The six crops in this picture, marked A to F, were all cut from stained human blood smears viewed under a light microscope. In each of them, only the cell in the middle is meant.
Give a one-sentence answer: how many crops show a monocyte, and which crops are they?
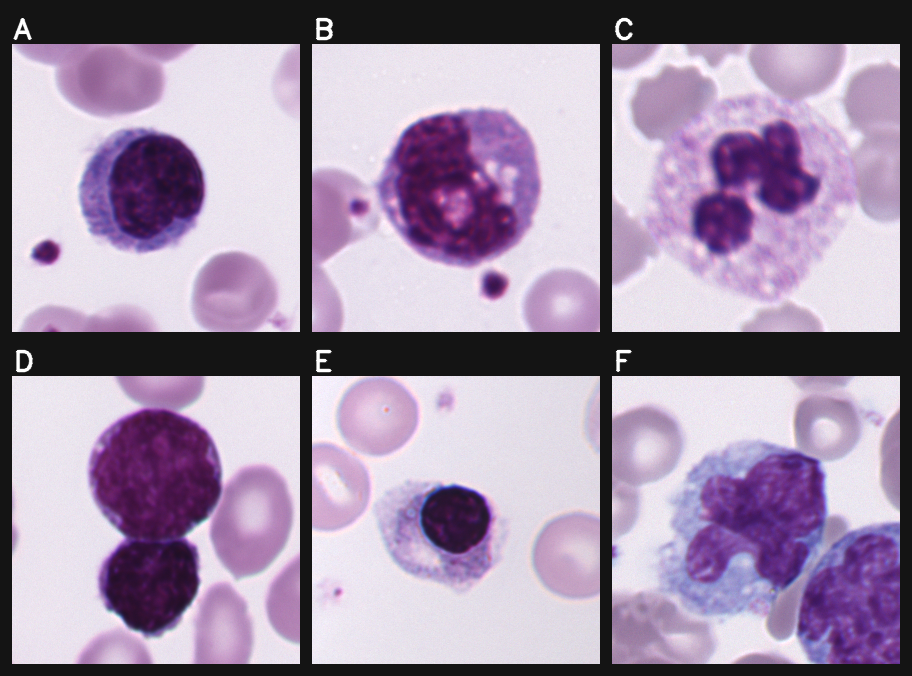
Those crops showing monocytes, three in all, are A, B and F.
